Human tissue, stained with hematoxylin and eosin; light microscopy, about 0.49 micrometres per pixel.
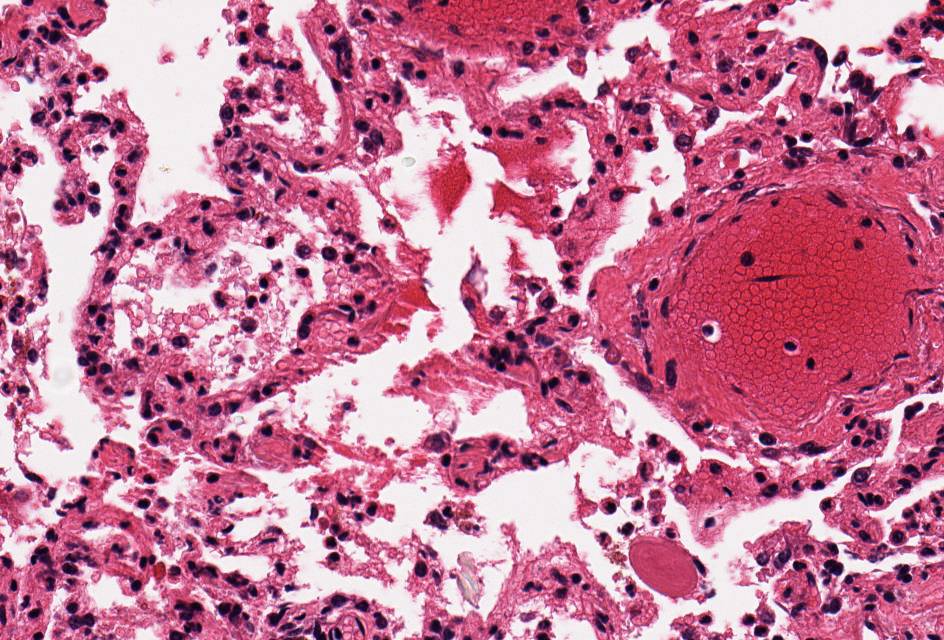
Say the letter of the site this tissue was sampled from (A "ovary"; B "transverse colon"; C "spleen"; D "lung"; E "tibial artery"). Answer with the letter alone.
D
